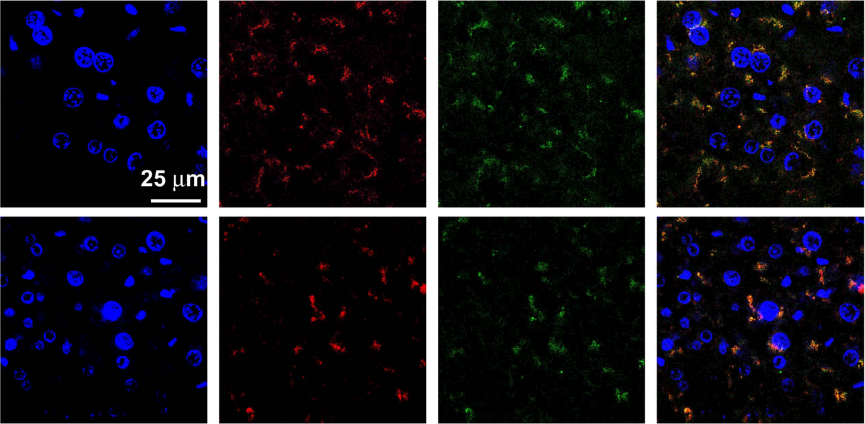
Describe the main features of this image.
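These are fluorescence images of liver. The red signal forms small irregular, branching patches scattered between the hepatocytes, fitting cells with thin processes lining the sinusoids. The green signal is fainter and granular, also in small scattered foci. In the merged images the red and green often overlap as yellow-orange spots lying beside hepatocyte nuclei rather than inside them.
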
